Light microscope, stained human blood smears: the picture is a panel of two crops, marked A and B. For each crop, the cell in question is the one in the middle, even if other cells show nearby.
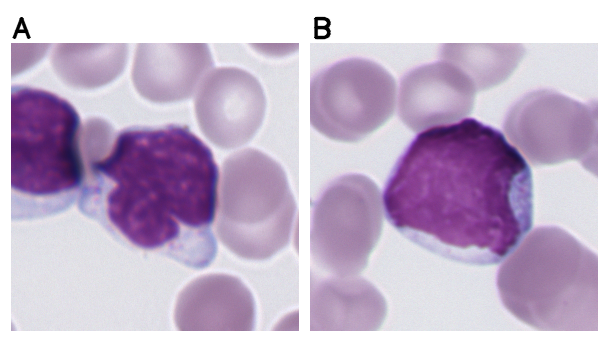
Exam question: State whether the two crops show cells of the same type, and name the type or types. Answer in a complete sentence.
Yes, the two crops show large granular lymphocytes, both of them.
